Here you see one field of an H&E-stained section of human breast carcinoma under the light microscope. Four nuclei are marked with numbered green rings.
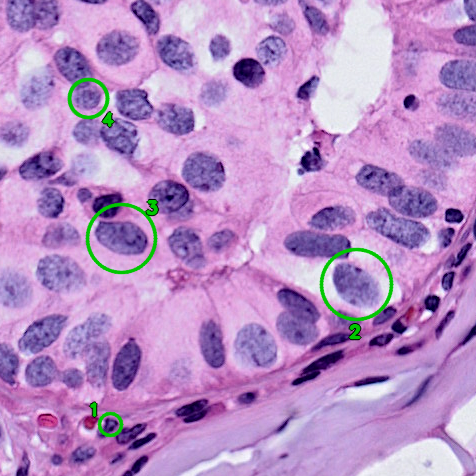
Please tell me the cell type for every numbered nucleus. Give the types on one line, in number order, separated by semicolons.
endothelial cell; carcinoma cell; carcinoma cell; carcinoma cell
